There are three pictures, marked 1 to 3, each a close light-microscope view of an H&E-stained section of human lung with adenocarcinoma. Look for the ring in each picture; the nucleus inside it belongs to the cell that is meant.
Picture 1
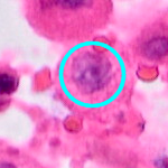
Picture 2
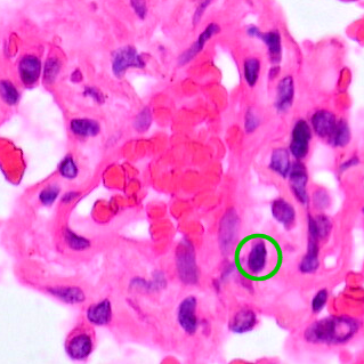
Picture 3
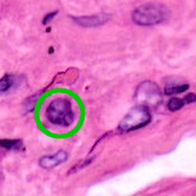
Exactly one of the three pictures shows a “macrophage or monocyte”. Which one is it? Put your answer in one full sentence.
It is picture 1 that shows the “macrophage or monocyte”.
